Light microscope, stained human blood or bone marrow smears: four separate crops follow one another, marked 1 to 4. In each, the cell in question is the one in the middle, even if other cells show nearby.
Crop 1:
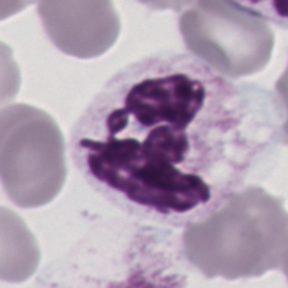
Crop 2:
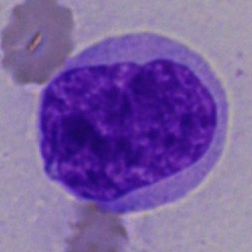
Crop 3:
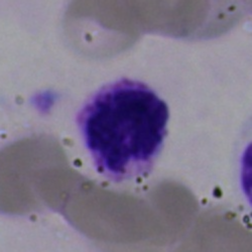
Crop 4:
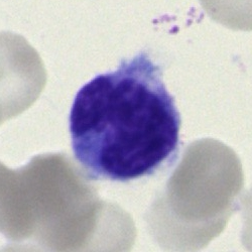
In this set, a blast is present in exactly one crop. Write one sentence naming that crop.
The crop that shows a blast is crop 2.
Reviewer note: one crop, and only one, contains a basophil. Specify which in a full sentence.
Crop 3, of the crops presented, is the one showing a basophil.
